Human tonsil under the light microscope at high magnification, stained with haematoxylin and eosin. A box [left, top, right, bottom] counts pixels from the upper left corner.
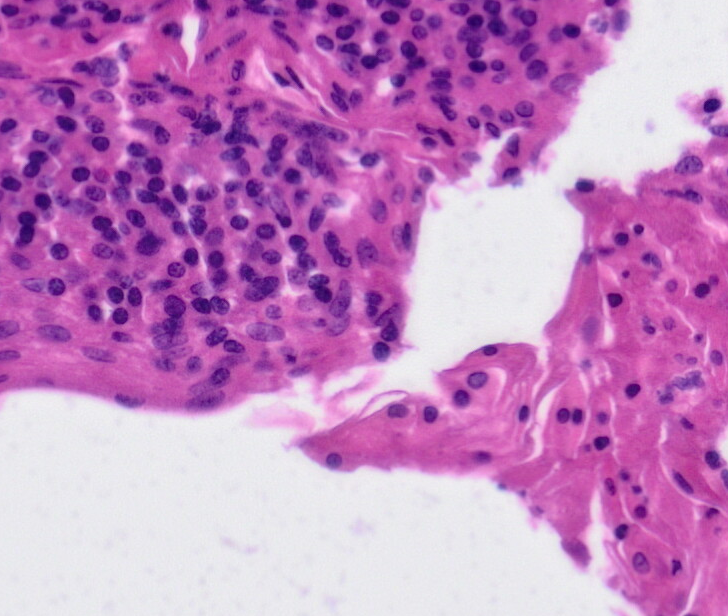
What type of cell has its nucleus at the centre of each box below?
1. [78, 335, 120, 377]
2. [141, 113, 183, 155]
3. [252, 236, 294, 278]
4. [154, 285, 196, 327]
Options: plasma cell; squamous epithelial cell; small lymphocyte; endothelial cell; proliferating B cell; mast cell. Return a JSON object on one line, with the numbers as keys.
{"1": "squamous epithelial cell", "2": "plasma cell", "3": "plasma cell", "4": "squamous epithelial cell"}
